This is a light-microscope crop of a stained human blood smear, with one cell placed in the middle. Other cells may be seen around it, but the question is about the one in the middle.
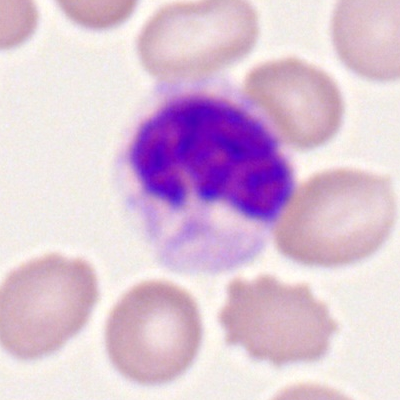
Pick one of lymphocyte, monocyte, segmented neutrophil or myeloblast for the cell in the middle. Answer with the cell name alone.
segmented neutrophil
